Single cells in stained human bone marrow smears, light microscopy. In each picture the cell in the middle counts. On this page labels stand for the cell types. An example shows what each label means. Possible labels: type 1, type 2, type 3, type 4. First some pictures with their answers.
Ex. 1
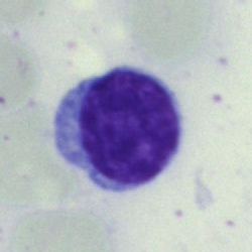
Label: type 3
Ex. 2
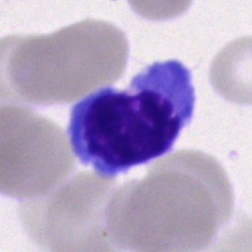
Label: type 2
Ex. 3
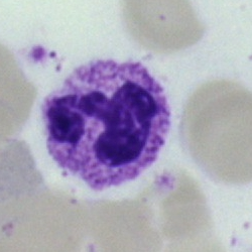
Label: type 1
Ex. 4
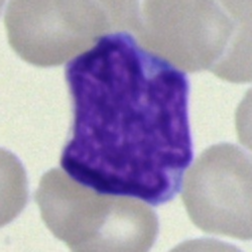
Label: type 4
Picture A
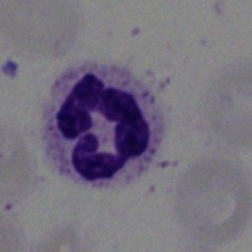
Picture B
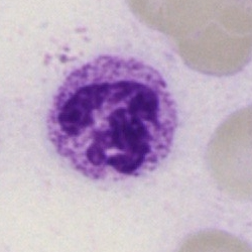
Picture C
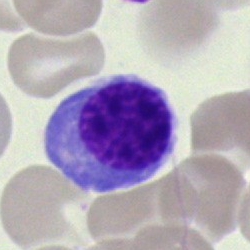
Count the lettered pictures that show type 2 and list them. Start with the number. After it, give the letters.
1: C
